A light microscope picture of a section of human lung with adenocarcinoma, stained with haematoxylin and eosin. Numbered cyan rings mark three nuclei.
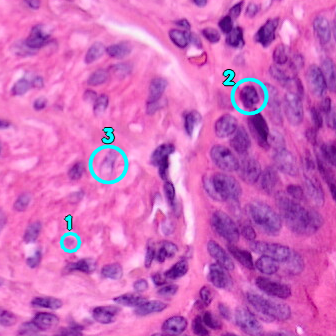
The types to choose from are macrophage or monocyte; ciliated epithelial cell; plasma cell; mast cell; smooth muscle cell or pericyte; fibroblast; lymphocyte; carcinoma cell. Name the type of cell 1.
smooth muscle cell or pericyte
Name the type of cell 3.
smooth muscle cell or pericyte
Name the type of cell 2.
lymphocyte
